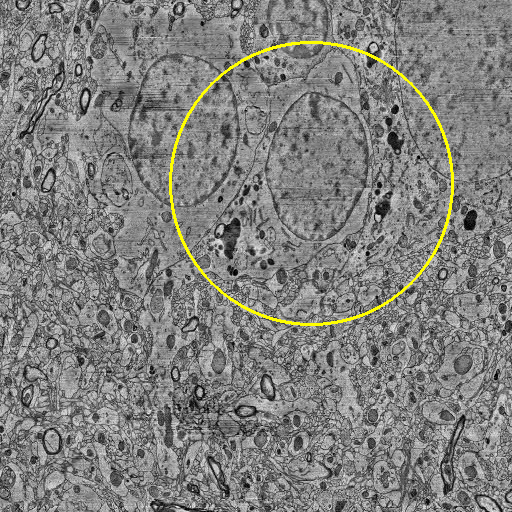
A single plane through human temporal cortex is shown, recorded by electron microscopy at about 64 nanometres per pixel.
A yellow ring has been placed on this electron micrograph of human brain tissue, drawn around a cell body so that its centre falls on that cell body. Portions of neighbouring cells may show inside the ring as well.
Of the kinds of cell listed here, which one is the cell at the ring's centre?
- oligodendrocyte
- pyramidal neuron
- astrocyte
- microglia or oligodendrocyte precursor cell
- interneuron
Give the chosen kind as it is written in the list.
astrocyte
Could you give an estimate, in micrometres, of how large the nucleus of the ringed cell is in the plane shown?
The nucleus appears roughly 10 by 7 micrometres in this plane.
